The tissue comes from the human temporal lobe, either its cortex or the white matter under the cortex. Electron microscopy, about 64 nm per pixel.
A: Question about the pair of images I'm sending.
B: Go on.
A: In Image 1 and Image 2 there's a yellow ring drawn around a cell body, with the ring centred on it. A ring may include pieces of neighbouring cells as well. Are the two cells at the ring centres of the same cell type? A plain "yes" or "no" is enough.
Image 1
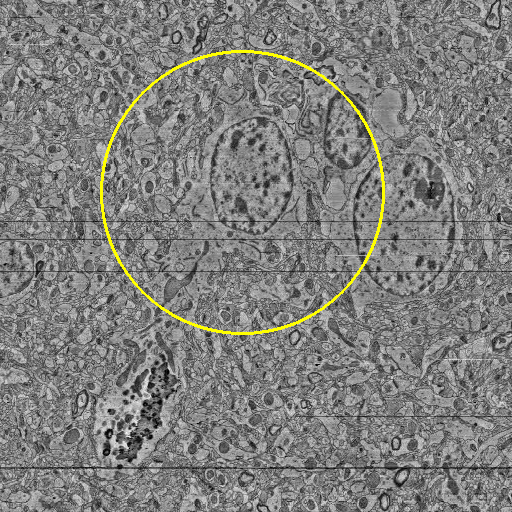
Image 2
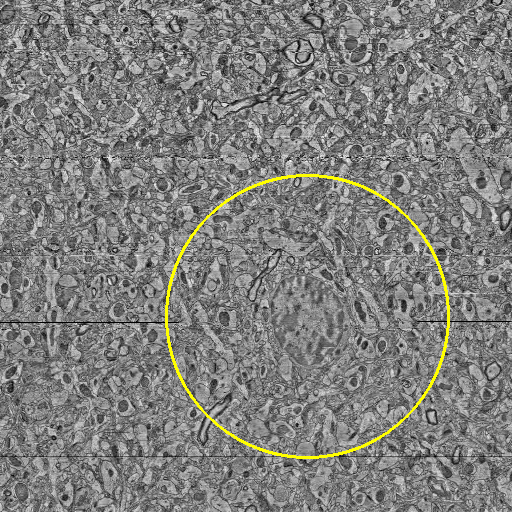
no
